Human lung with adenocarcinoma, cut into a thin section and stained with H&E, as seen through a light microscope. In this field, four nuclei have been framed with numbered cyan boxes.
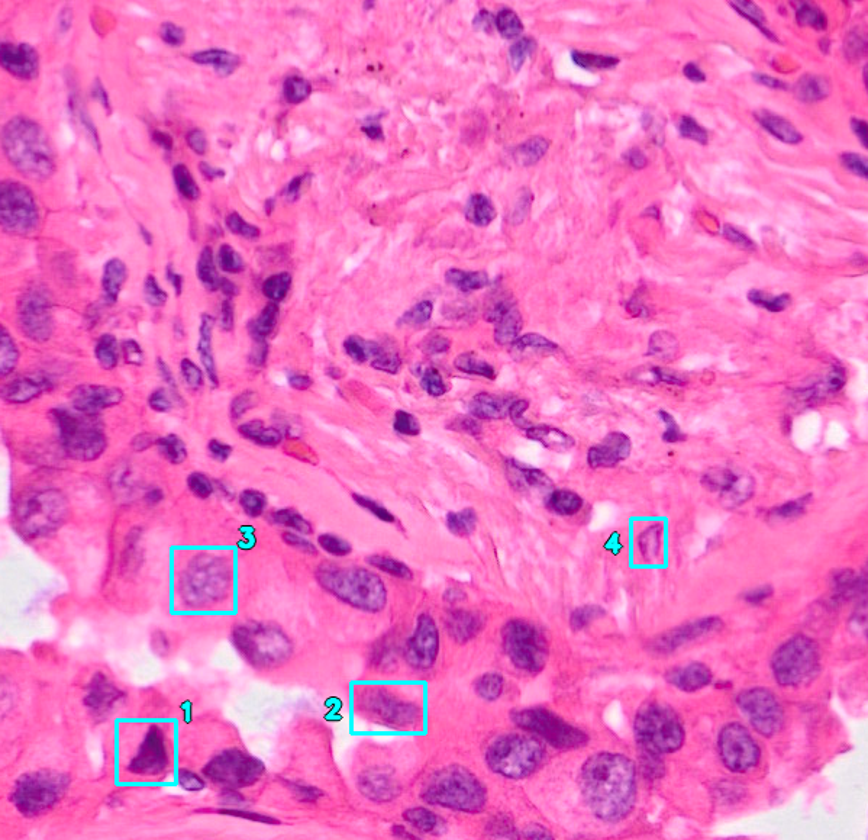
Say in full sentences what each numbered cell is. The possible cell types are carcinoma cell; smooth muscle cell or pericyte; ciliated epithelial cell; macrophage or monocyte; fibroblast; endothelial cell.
Cell 1 is a carcinoma cell, cell 2 is a carcinoma cell, cell 3 is a carcinoma cell and cell 4 is a macrophage or monocyte.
